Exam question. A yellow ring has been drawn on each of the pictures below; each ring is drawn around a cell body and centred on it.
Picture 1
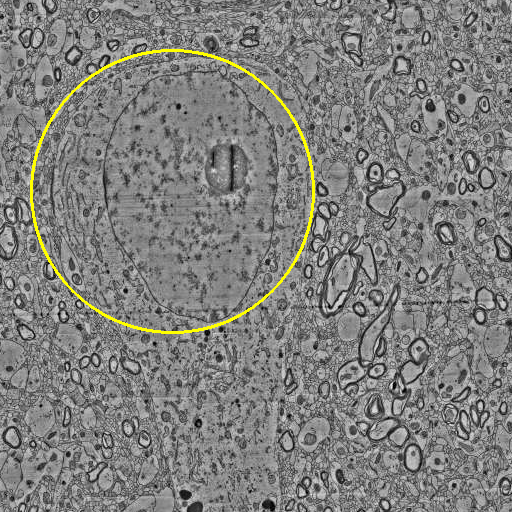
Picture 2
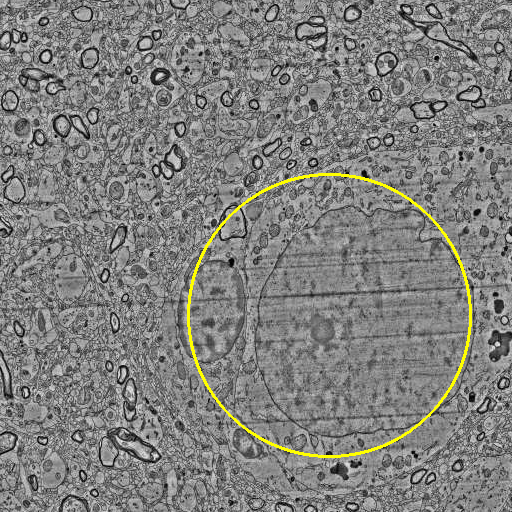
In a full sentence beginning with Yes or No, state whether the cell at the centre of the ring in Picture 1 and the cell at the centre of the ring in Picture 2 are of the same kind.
Yes, the two cells are of the same kind.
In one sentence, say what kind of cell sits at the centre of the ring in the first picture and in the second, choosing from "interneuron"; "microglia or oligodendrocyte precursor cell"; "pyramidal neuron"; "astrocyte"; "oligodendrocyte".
Each of the two cells is a pyramidal neuron.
